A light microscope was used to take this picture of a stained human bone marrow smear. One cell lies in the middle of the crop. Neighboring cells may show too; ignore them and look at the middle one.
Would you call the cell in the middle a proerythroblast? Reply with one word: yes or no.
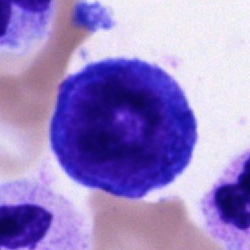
yes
